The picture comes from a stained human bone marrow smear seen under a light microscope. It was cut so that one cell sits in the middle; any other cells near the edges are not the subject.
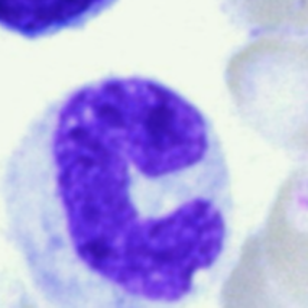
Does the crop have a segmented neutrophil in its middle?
no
